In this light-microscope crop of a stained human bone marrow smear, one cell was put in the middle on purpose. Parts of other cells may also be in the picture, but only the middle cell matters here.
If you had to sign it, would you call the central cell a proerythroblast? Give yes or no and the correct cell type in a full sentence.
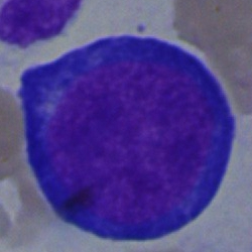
Yes, the cell that occupies the centre is a proerythroblast.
